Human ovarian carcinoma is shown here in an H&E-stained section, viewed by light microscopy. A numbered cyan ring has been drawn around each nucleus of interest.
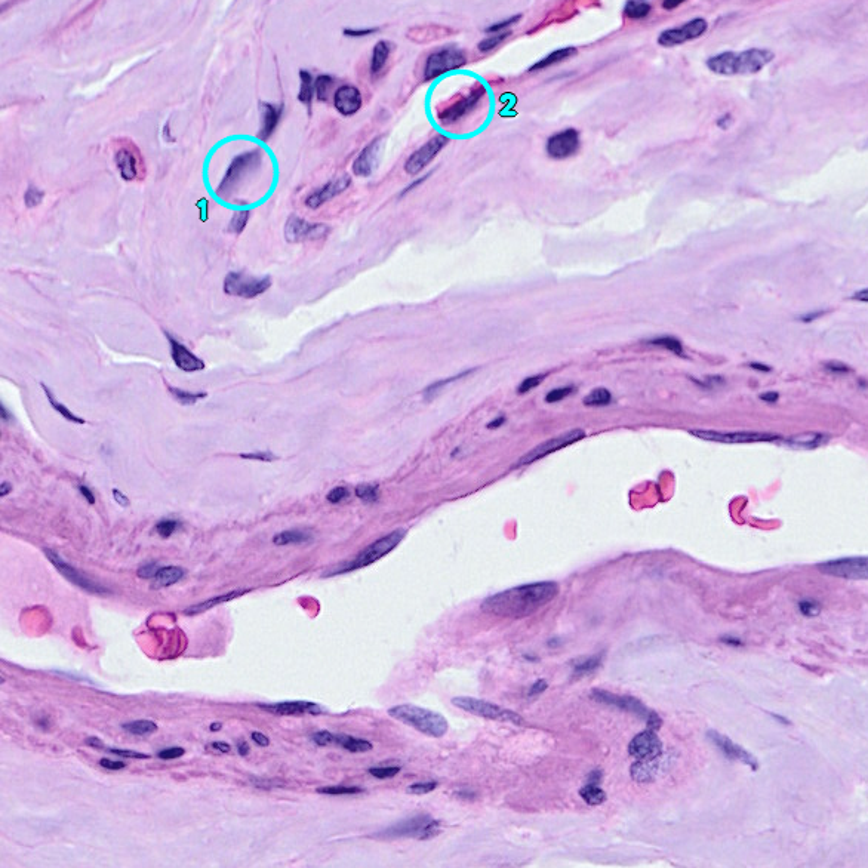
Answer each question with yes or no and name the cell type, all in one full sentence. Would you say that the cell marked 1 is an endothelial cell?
No, the cell at marker 1 is not an endothelial cell; it is a fibroblast.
